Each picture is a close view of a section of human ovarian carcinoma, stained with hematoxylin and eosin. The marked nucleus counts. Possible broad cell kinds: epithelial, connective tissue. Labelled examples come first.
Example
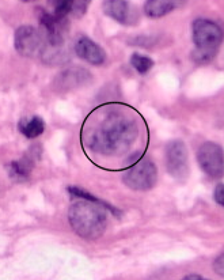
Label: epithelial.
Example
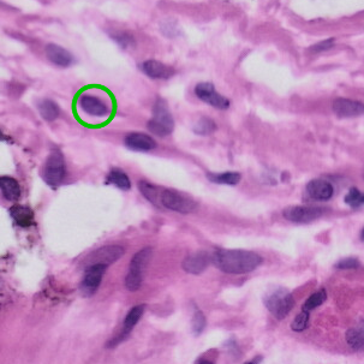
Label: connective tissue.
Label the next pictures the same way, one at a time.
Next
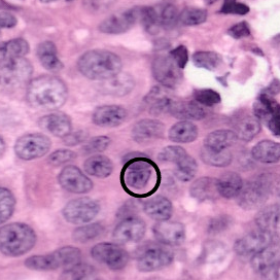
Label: epithelial.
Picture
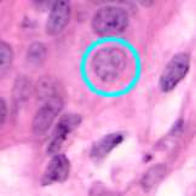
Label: epithelial.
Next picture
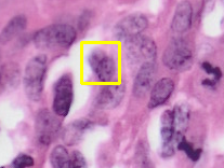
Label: epithelial.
